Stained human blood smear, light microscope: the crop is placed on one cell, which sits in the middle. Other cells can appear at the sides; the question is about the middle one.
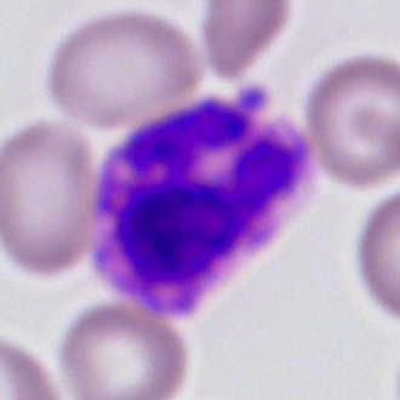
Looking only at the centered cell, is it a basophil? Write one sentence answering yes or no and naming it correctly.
Yes, the cell in the middle is recognised as a basophil.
